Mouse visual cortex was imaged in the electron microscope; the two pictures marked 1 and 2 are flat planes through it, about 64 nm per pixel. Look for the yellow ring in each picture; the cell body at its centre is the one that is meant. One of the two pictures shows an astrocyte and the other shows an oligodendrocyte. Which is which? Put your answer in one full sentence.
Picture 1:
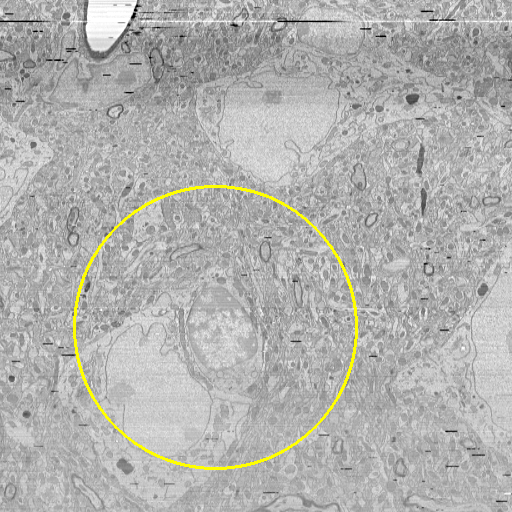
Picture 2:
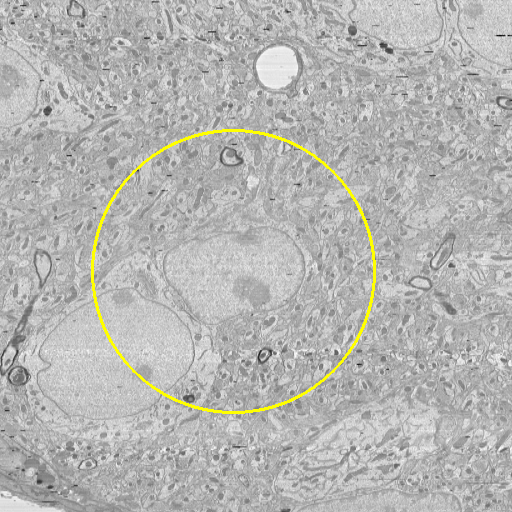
Picture 1 is of an oligodendrocyte, and picture 2 is of an astrocyte.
